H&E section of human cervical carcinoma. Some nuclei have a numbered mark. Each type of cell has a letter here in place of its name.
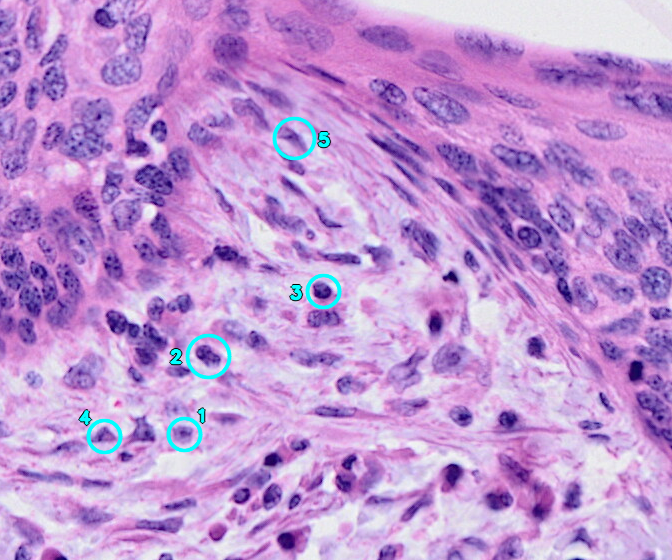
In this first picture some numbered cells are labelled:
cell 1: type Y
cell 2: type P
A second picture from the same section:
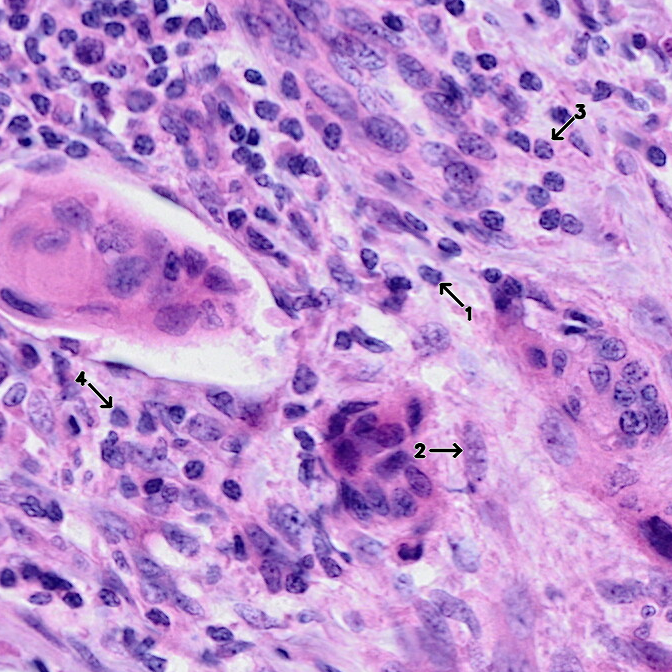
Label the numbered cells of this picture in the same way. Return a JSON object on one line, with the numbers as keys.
{"1": "type P", "2": "type Y", "3": "type P", "4": "type P"}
